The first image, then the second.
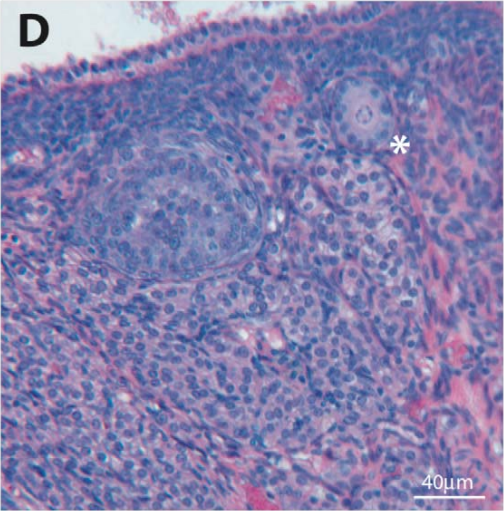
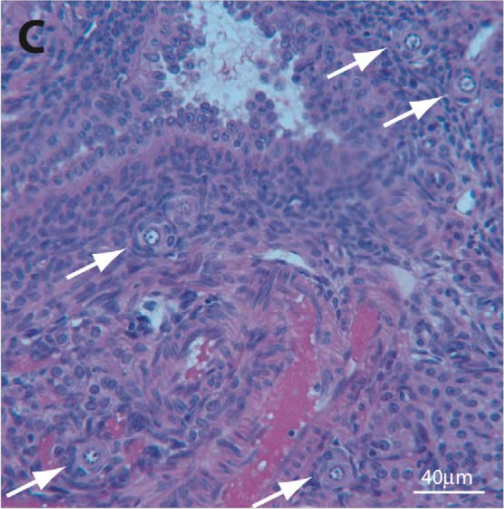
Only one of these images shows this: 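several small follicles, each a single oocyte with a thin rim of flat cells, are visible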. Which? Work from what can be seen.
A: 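First image: no small single-oocyte follicles with a flat cell rim are seen in the stroma. Second image: several small round follicles with a single central oocyte are scattered in the stroma. That points to this answer: the second image.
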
